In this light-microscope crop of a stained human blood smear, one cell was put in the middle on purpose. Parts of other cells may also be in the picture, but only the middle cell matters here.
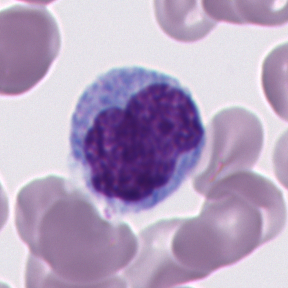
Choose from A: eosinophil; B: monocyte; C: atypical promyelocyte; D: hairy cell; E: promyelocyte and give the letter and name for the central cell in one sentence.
For this crop, option B is right, the centered cell being a monocyte.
